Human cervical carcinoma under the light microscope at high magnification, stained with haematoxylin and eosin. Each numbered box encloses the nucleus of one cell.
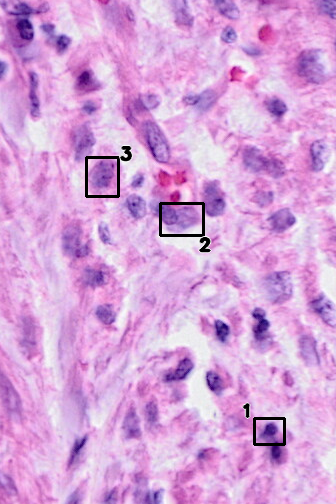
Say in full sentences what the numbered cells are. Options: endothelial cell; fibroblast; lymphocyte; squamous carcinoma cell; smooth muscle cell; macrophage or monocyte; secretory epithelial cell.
Cell 1 is a lymphocyte, cell 2 is an endothelial cell and cell 3 is a macrophage or monocyte.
